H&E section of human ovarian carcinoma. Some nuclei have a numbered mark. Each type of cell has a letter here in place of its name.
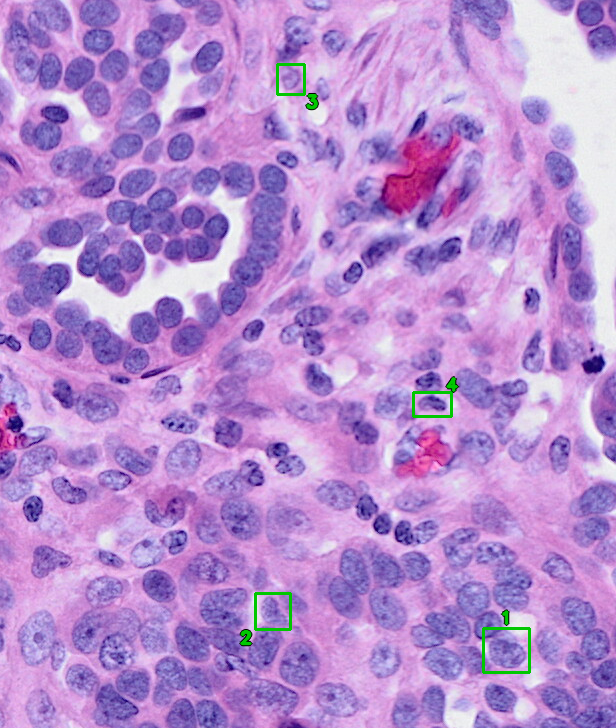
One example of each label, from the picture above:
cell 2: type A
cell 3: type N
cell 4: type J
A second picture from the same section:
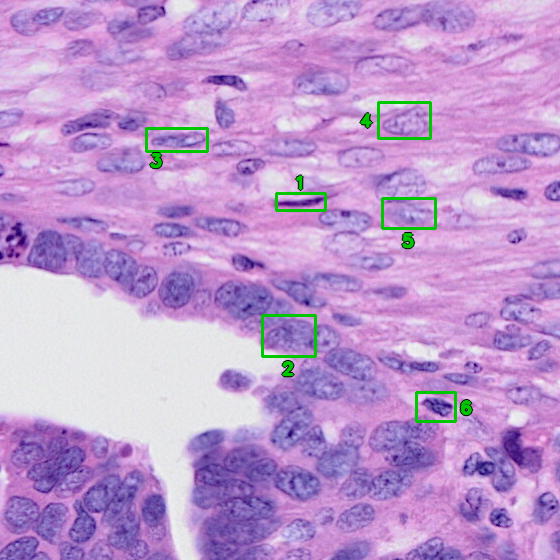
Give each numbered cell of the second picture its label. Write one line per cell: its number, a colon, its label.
1: type N
2: type A
3: type N
4: type N
5: type N
6: type J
